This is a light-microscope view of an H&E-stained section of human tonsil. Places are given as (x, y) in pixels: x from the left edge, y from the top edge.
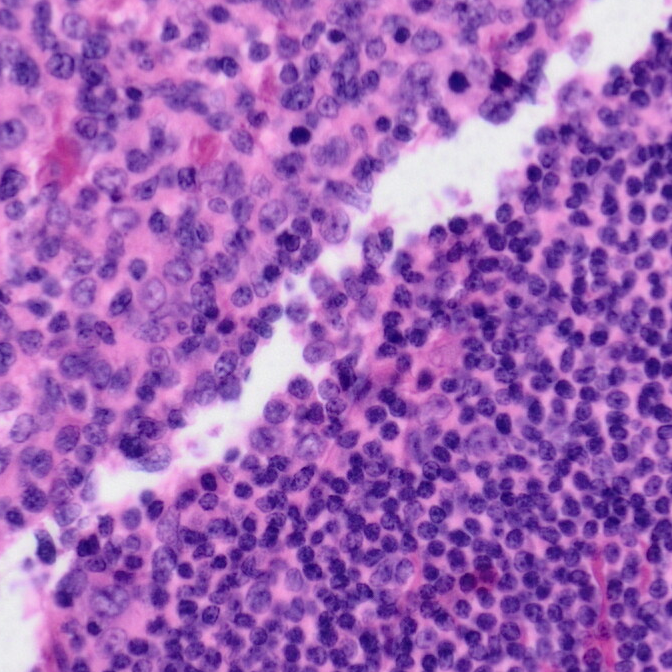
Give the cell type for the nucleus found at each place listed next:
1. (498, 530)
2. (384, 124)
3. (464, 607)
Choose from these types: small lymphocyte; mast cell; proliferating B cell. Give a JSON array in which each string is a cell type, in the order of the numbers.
["small lymphocyte", "proliferating B cell", "small lymphocyte"]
